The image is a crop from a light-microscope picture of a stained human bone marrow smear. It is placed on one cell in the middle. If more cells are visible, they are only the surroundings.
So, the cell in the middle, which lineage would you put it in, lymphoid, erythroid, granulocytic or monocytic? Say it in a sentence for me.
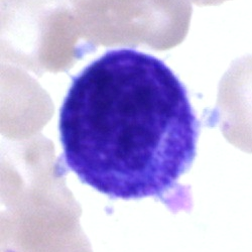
Counted among cells of the granulocytic lineage is the central cell.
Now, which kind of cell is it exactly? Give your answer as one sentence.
The cell at the centre of the field is a promyelocyte.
